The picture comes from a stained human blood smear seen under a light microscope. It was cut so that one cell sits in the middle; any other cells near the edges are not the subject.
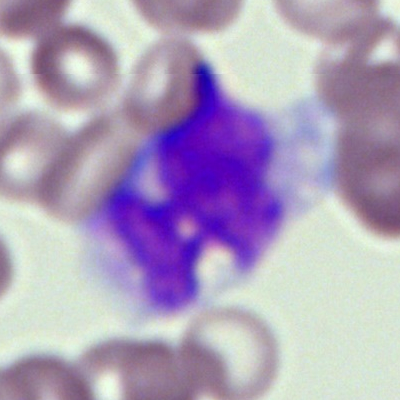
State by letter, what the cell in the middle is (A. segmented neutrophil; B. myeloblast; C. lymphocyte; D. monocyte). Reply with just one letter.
D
